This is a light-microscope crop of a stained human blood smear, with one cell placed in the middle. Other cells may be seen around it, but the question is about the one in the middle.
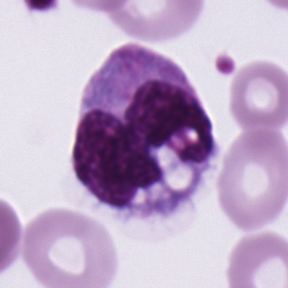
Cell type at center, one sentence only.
The cell at the heart of this crop is a monocyte.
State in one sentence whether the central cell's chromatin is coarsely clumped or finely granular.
Answer: the chromatin in this nucleus is coarsely clumped.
